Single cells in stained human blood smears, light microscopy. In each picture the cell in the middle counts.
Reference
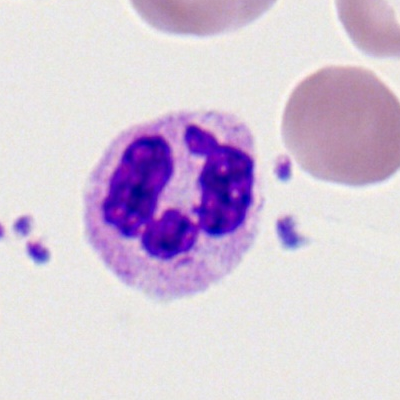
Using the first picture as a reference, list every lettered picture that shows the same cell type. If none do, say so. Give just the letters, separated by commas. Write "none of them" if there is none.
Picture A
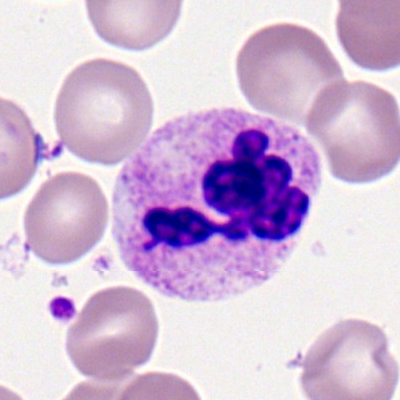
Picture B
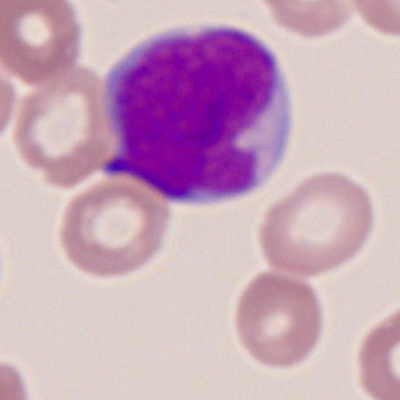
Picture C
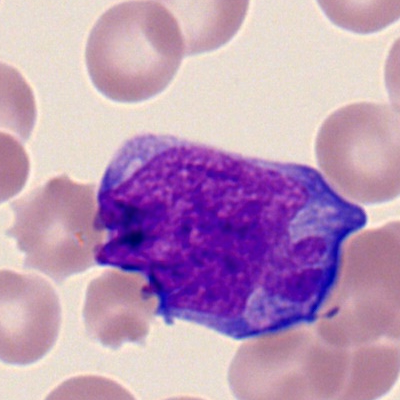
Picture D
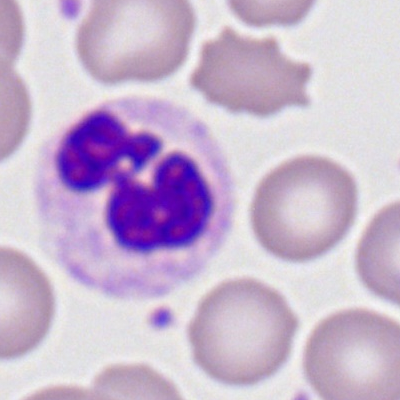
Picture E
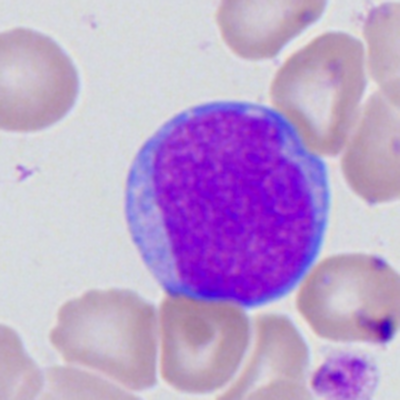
A, D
